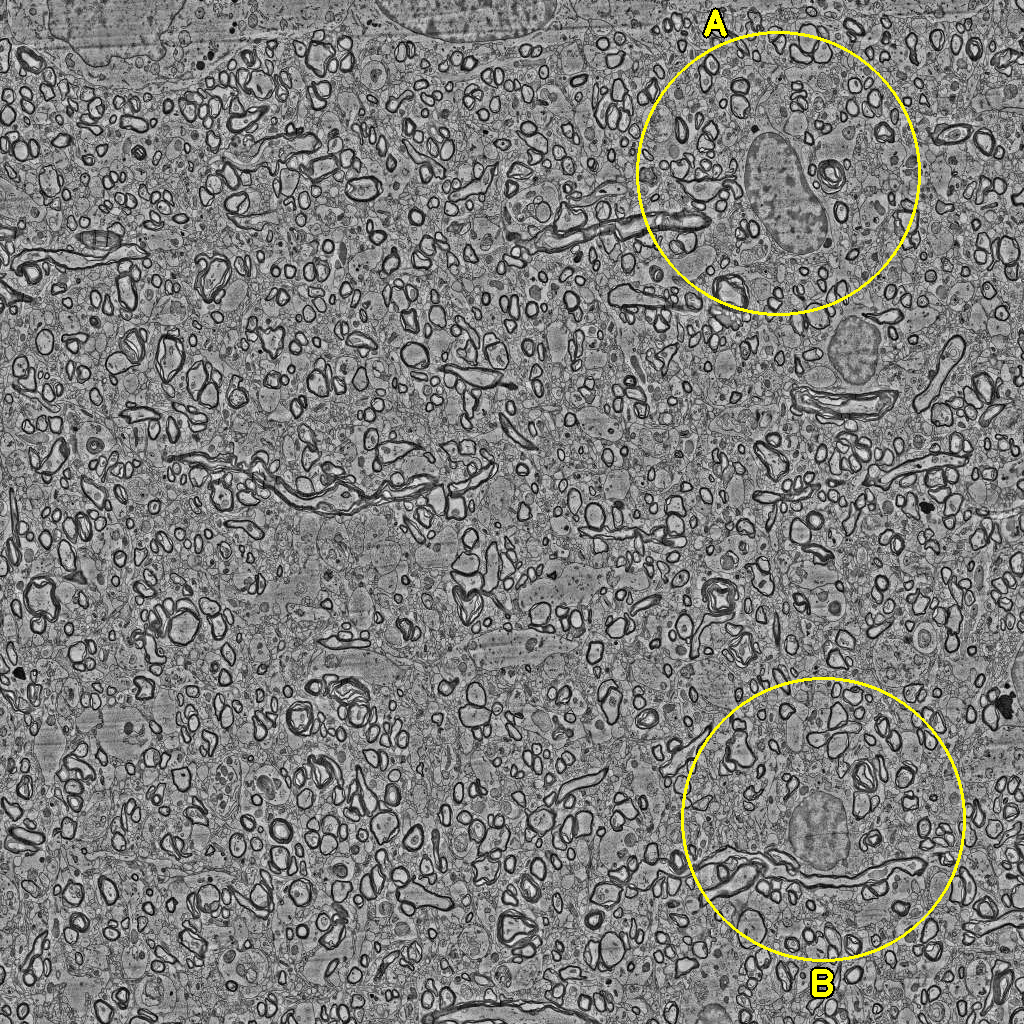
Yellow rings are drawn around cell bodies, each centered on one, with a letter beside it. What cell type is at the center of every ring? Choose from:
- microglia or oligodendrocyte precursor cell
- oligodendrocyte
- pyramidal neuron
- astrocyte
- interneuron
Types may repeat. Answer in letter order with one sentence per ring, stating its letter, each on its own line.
The cell at the center of ring A is a microglial cell or oligodendrocyte precursor cell.
The cell at the center of ring B is an oligodendrocyte.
